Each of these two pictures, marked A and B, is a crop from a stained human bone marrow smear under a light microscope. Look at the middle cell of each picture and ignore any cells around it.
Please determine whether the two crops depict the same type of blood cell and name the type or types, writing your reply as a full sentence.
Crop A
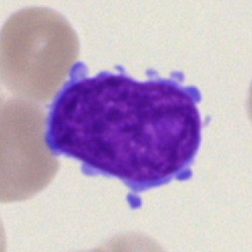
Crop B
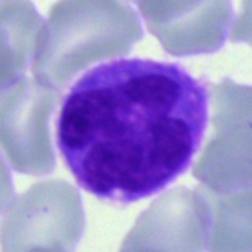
No, mark crop A as a blast and crop B as a monocyte.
